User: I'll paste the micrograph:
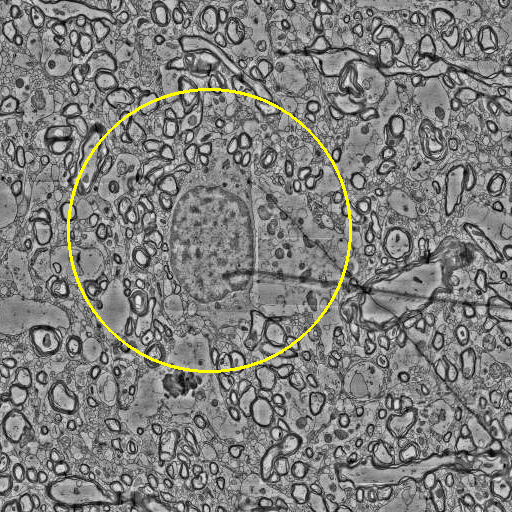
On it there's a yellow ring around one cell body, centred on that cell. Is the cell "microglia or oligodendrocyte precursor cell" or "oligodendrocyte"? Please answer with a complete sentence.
The cell ringed in yellow is an oligodendrocyte.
